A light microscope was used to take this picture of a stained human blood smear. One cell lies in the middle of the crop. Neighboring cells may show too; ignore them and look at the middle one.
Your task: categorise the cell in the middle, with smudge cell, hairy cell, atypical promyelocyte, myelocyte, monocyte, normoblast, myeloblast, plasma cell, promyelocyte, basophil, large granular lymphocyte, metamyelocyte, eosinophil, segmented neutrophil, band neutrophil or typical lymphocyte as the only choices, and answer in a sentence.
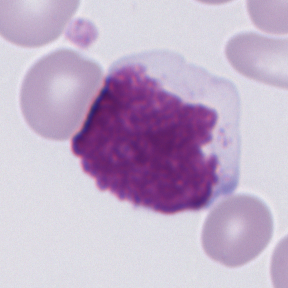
The identification for the central cell is a large granular lymphocyte.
